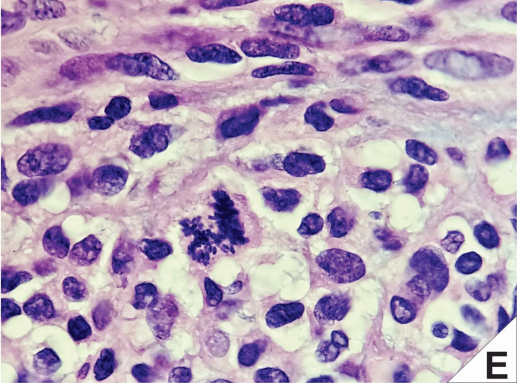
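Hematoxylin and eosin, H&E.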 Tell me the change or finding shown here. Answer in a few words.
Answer: Atypical mitotic figures.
